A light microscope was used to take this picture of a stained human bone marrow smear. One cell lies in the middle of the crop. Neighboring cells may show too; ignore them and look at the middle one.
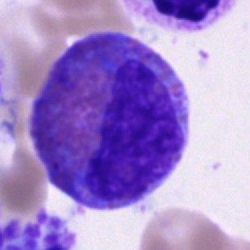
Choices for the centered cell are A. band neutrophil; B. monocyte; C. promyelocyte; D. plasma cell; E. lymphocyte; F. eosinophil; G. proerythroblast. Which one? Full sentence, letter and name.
Located in the middle of the crop is an eosinophil, and option F is therefore correct.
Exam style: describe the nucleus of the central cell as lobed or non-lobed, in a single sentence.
In this cell the nucleus is a solitary compact mass, round, oval or kidney-shaped.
